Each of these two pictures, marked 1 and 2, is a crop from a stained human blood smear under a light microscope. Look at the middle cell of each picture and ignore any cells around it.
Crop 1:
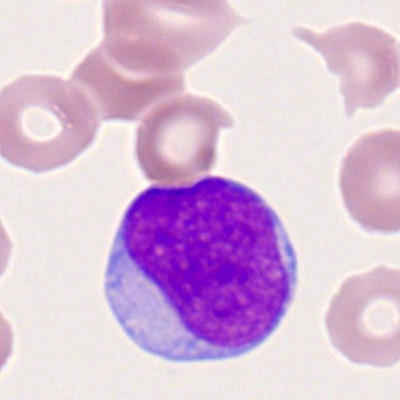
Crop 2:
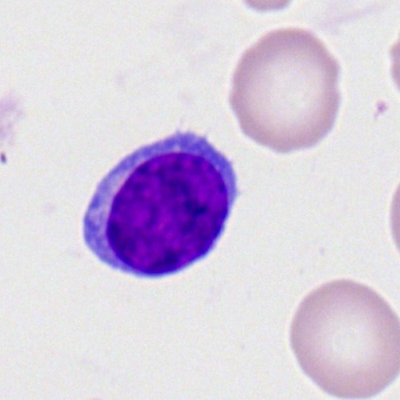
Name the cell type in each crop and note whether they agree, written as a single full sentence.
No, crop 1 has a myeloblast at its center, and crop 2 has a lymphocyte.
